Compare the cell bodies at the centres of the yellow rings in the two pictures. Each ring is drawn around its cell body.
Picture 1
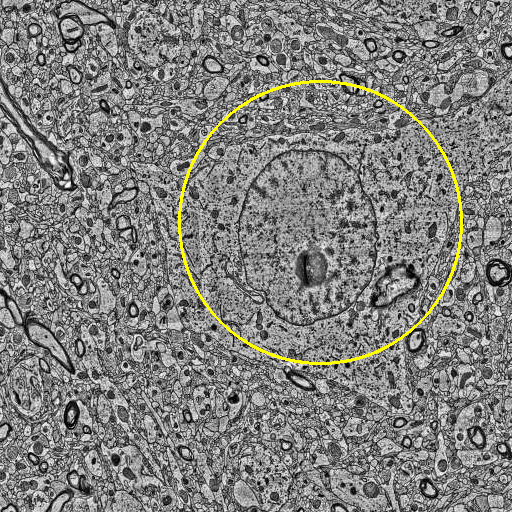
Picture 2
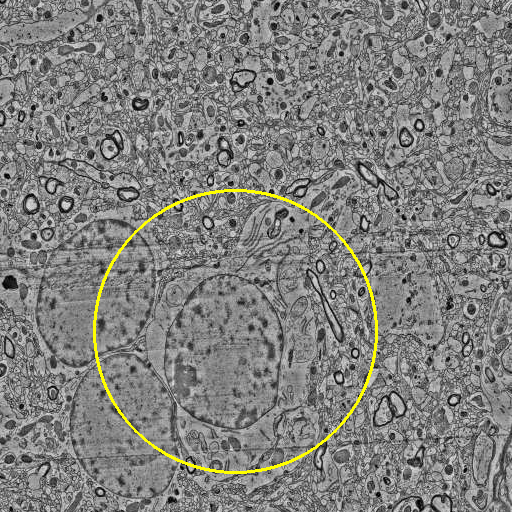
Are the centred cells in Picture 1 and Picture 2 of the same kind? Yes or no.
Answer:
no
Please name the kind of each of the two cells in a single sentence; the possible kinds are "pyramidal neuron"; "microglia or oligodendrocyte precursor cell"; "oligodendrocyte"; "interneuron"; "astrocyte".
In the first picture the ring is centred on a pyramidal neuron, and in the second on an astrocyte.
